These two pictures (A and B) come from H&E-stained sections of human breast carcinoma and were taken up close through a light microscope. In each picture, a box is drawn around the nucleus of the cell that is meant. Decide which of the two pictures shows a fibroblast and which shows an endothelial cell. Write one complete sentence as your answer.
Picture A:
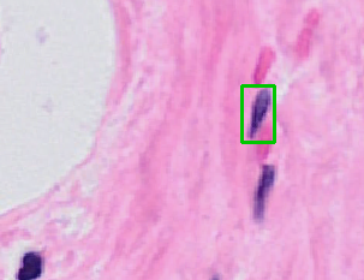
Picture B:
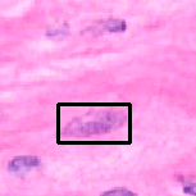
The cell in picture A is an endothelial cell, and the one in picture B is a fibroblast.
